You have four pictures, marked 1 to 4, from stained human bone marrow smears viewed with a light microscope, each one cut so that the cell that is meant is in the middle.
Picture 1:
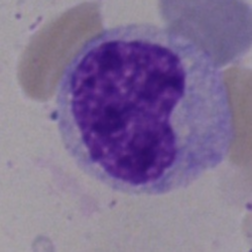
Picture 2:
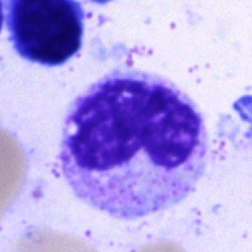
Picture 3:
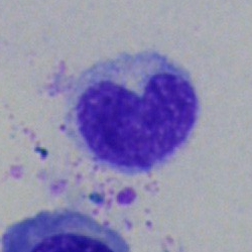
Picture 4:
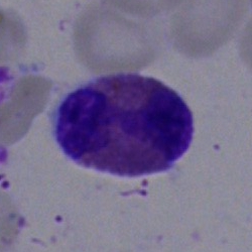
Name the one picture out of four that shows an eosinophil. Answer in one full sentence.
Picture 4 is the one that shows the eosinophil.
